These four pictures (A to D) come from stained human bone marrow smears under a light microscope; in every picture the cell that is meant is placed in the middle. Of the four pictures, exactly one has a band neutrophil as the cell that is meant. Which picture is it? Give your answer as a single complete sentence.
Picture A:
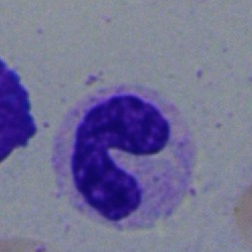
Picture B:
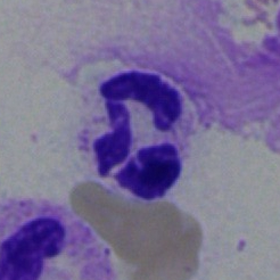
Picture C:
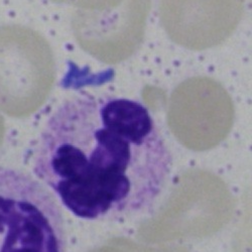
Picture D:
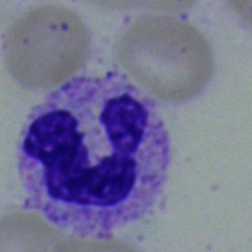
The picture with the band neutrophil is A.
